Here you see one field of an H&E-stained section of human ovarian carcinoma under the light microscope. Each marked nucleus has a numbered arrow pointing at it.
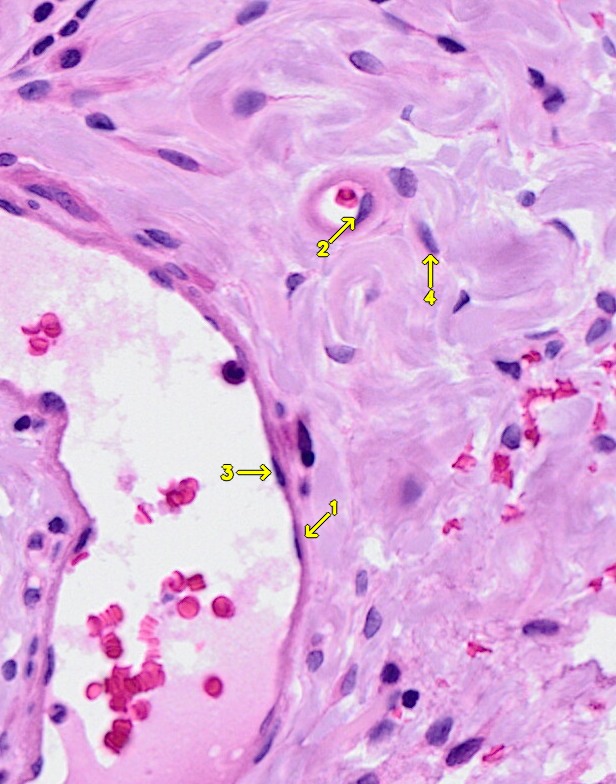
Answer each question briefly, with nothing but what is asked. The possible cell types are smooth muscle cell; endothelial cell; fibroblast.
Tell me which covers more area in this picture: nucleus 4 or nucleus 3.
4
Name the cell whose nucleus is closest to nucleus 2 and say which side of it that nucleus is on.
a fibroblast above and to the right of nucleus 2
